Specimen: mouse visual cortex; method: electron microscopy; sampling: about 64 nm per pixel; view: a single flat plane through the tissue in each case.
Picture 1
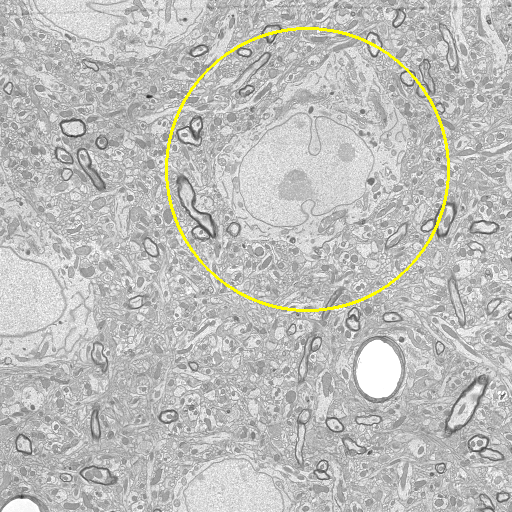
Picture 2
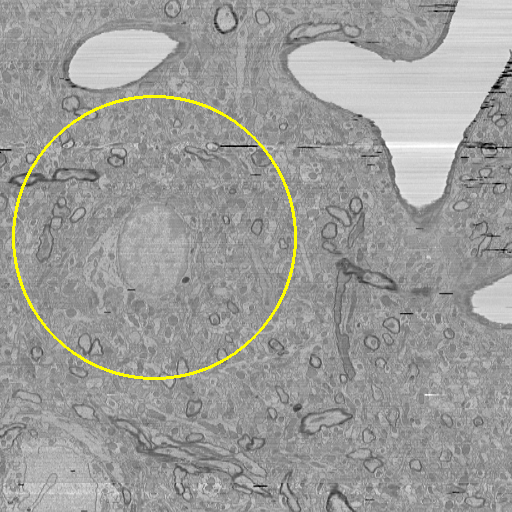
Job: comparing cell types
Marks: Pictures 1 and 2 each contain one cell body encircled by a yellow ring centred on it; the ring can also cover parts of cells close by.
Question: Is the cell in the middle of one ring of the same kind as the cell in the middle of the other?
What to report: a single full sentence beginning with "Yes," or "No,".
No, the cell at the ring centre in Picture 1 and its partner in Picture 2 are of two kinds.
